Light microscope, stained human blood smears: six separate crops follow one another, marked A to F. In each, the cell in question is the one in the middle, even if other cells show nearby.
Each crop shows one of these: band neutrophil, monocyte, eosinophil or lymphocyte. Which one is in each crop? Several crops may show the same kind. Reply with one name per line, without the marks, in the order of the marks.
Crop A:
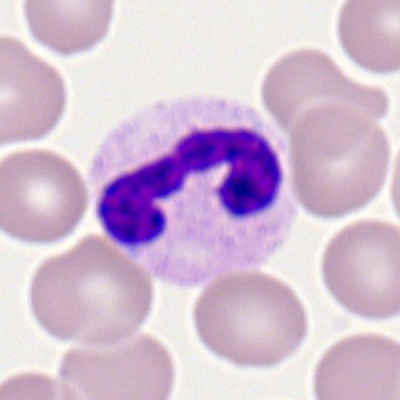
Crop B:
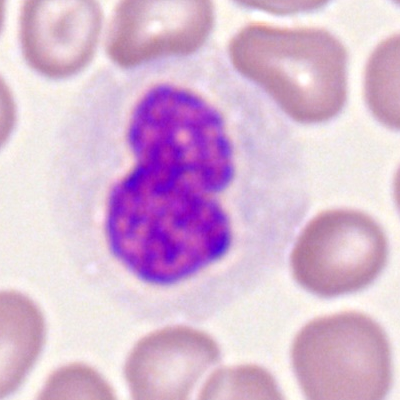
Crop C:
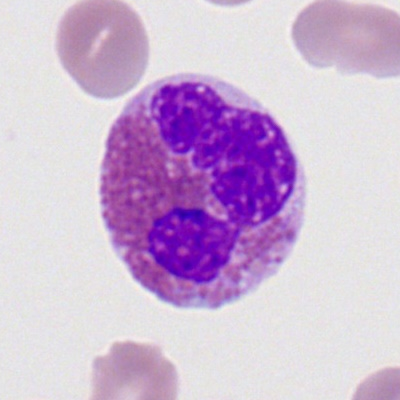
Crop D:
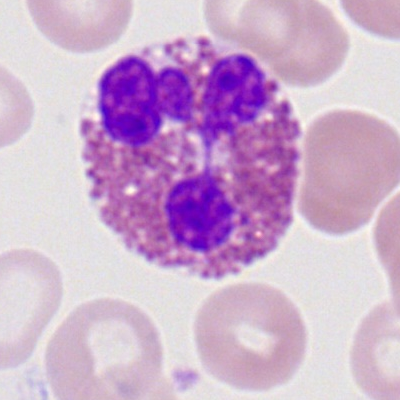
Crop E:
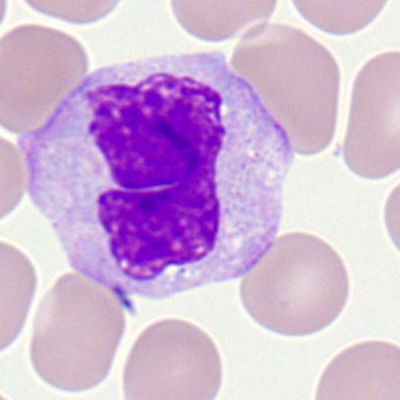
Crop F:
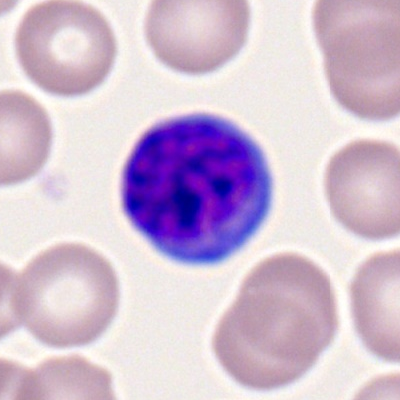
band neutrophil
monocyte
eosinophil
eosinophil
monocyte
lymphocyte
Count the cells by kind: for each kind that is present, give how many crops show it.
monocyte: 2
eosinophil: 2
band neutrophil: 1
lymphocyte: 1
